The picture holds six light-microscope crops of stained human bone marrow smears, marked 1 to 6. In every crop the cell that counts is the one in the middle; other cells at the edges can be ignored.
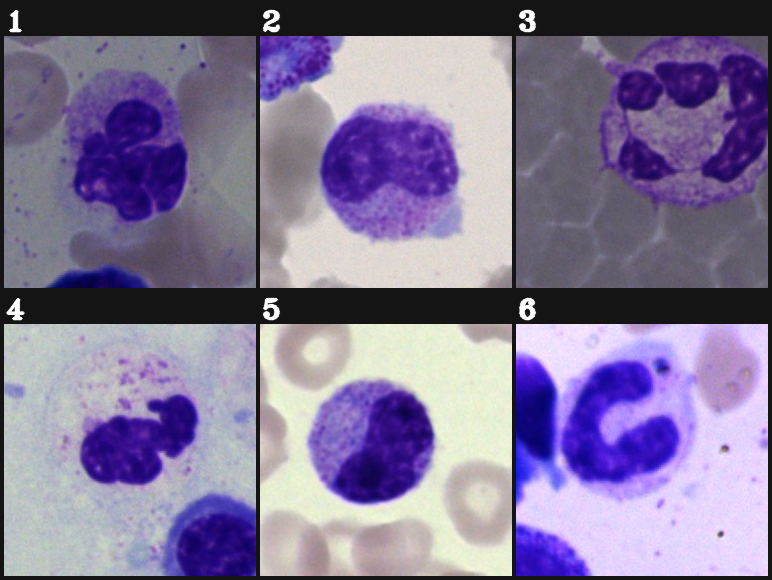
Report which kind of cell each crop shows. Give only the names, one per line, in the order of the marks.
segmented neutrophil
band neutrophil
segmented neutrophil
segmented neutrophil
metamyelocyte
band neutrophil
